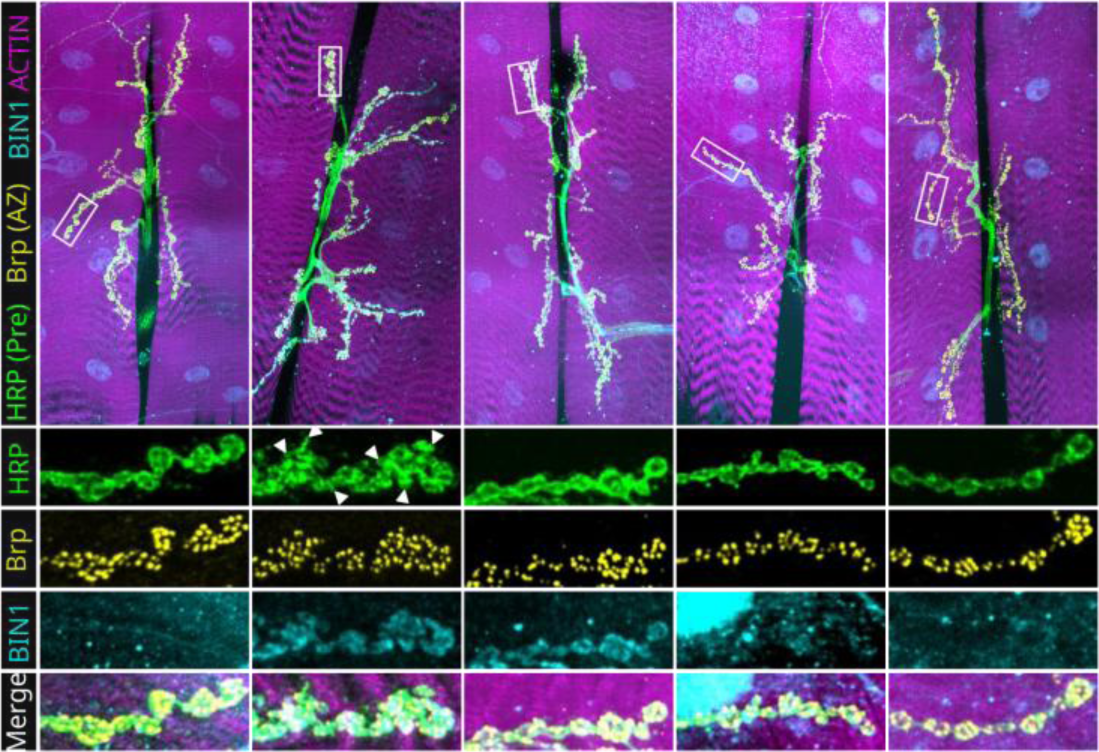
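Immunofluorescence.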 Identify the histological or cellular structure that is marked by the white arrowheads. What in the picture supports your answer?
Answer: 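The arrowheads mark small round outpouchings of the green-outlined terminal. They sit beside larger boutons rather than in line with them. So: satellite boutons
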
